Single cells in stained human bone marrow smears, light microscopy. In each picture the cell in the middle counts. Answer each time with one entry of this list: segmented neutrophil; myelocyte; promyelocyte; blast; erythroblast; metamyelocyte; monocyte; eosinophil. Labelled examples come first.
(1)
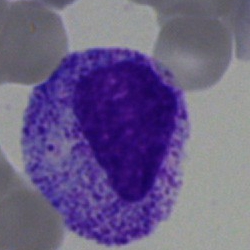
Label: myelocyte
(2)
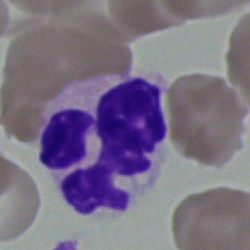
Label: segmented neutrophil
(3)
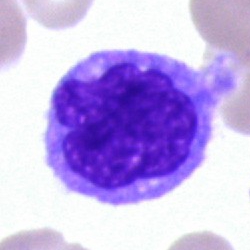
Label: monocyte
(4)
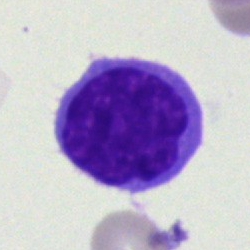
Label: blast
